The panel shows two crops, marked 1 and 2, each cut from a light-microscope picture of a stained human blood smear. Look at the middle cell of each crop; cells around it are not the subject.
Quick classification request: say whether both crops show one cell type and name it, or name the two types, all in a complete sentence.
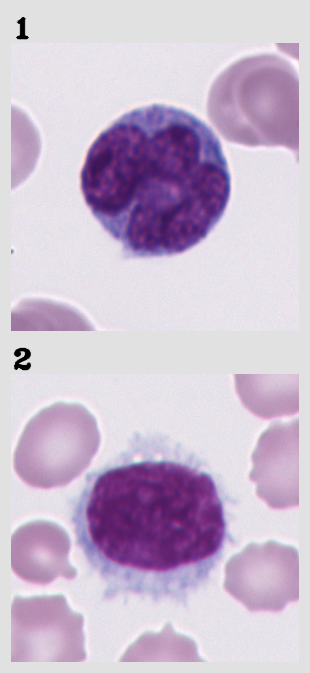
No, in crop 2 the central cell is a hairy cell, and in crop 1 it is a monocyte.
